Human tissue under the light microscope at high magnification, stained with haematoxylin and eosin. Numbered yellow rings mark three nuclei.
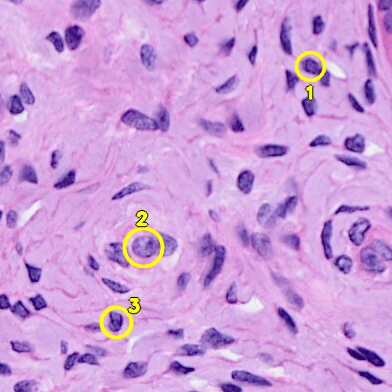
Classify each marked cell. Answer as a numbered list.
1. fibroblast
2. endothelial cell
3. fibroblast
